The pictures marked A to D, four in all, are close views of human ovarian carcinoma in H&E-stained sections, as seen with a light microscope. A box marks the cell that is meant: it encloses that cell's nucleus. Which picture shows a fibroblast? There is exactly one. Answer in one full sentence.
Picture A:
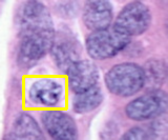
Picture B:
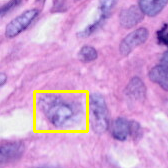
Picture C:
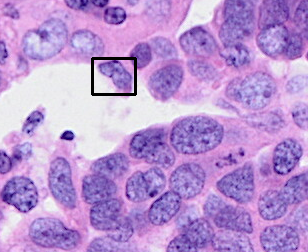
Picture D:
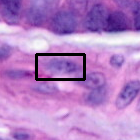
Picture B shows the fibroblast.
